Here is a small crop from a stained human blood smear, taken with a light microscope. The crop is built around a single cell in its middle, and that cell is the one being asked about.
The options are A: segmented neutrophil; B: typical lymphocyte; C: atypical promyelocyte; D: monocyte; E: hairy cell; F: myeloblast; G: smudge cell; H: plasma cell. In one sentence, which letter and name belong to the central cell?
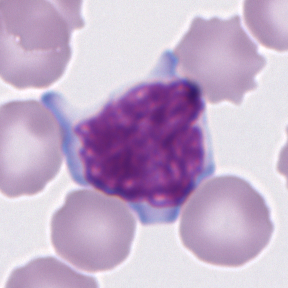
The correct option here is B; the middle cell is a typical lymphocyte.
